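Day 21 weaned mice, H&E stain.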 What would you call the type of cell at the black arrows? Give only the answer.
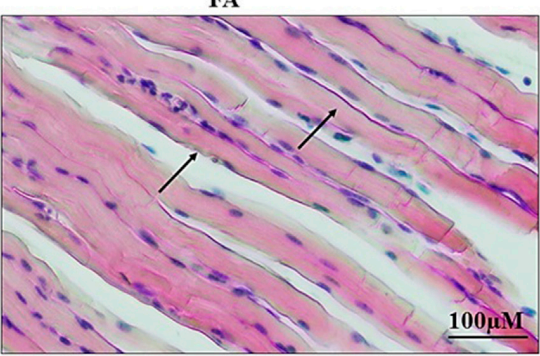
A: Muscle fibers.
